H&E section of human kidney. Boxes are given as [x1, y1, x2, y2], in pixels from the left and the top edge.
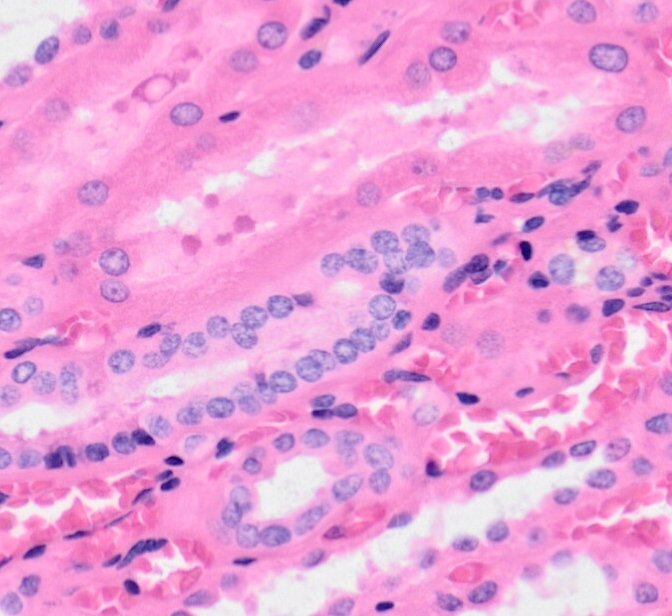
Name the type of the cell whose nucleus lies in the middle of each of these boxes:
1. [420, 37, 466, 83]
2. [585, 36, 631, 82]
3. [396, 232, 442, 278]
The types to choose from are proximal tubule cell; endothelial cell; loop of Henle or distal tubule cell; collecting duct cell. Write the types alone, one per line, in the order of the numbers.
proximal tubule cell
proximal tubule cell
collecting duct cell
